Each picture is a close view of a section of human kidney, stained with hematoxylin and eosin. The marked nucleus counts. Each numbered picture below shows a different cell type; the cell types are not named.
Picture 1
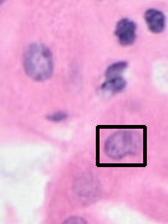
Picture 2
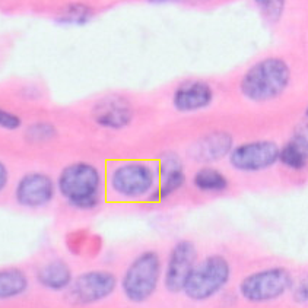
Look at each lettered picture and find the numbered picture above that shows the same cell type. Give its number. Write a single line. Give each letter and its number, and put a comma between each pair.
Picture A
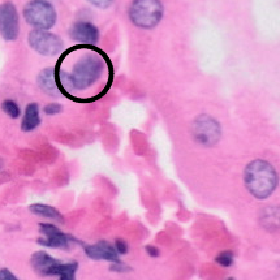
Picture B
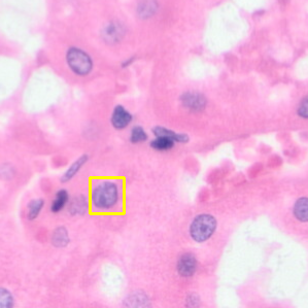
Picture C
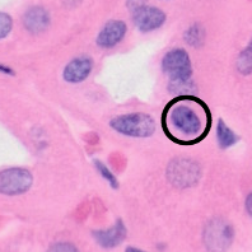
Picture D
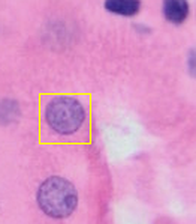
A 2, B 1, C 2, D 1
